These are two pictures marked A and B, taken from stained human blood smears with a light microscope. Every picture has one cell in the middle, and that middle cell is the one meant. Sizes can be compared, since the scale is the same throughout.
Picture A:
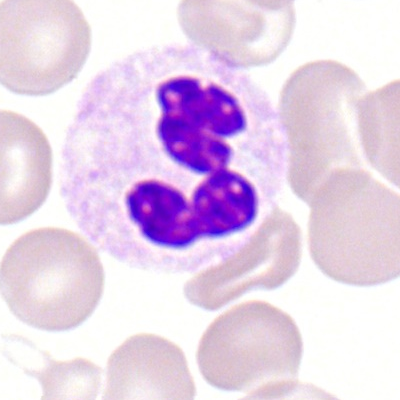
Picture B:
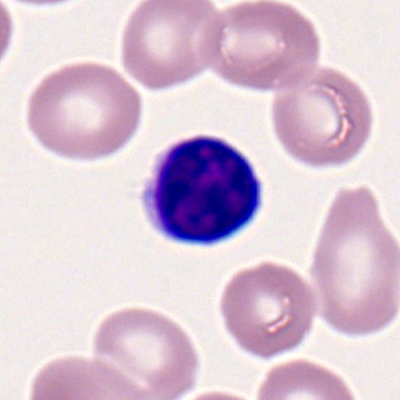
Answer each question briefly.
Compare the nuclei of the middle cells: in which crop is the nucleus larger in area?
A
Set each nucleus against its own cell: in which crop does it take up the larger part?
B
